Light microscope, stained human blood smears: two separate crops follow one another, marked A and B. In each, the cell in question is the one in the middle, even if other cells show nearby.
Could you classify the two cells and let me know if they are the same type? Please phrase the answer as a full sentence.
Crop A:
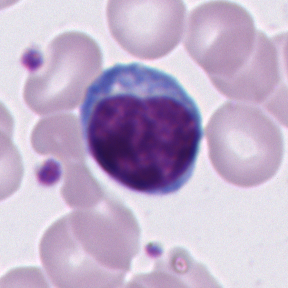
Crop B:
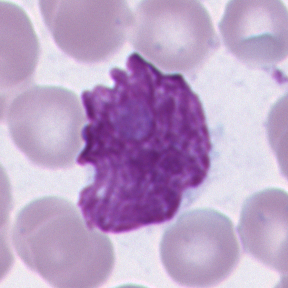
No, crop A is where a typical lymphocyte is, and crop B is where a smudge cell is.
